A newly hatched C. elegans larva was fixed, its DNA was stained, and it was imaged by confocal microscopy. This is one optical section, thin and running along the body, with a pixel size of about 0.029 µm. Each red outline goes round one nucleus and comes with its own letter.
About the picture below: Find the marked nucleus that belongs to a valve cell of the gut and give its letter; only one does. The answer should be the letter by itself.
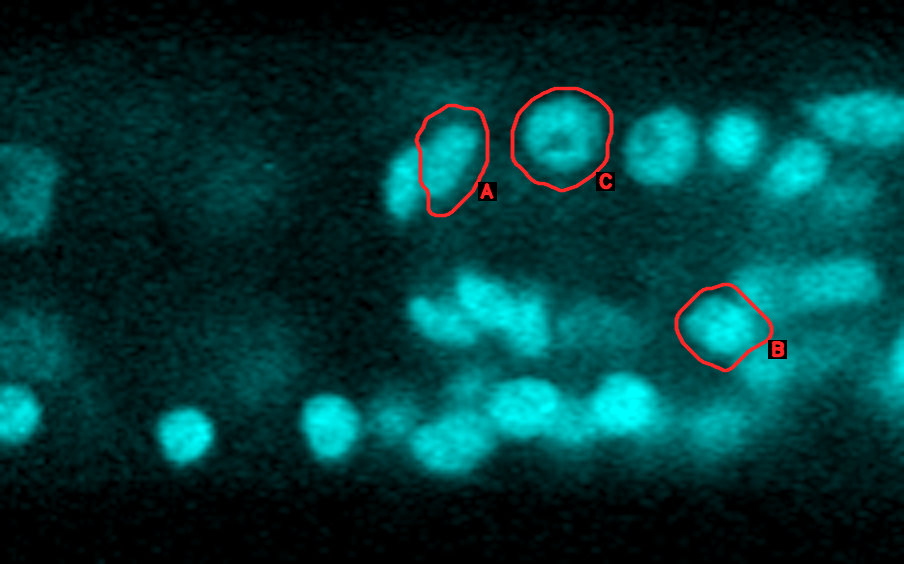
A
